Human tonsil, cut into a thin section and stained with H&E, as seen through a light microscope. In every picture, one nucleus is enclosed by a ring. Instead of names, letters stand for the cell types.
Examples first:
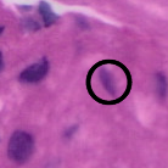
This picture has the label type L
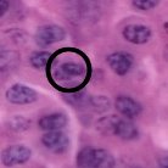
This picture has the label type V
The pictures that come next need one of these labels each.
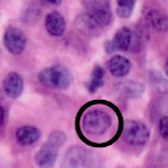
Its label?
type V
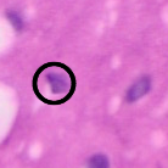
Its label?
type L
